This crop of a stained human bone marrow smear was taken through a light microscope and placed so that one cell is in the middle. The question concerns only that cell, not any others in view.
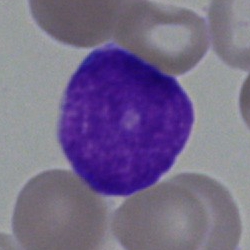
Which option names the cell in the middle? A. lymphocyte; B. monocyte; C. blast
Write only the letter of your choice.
C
